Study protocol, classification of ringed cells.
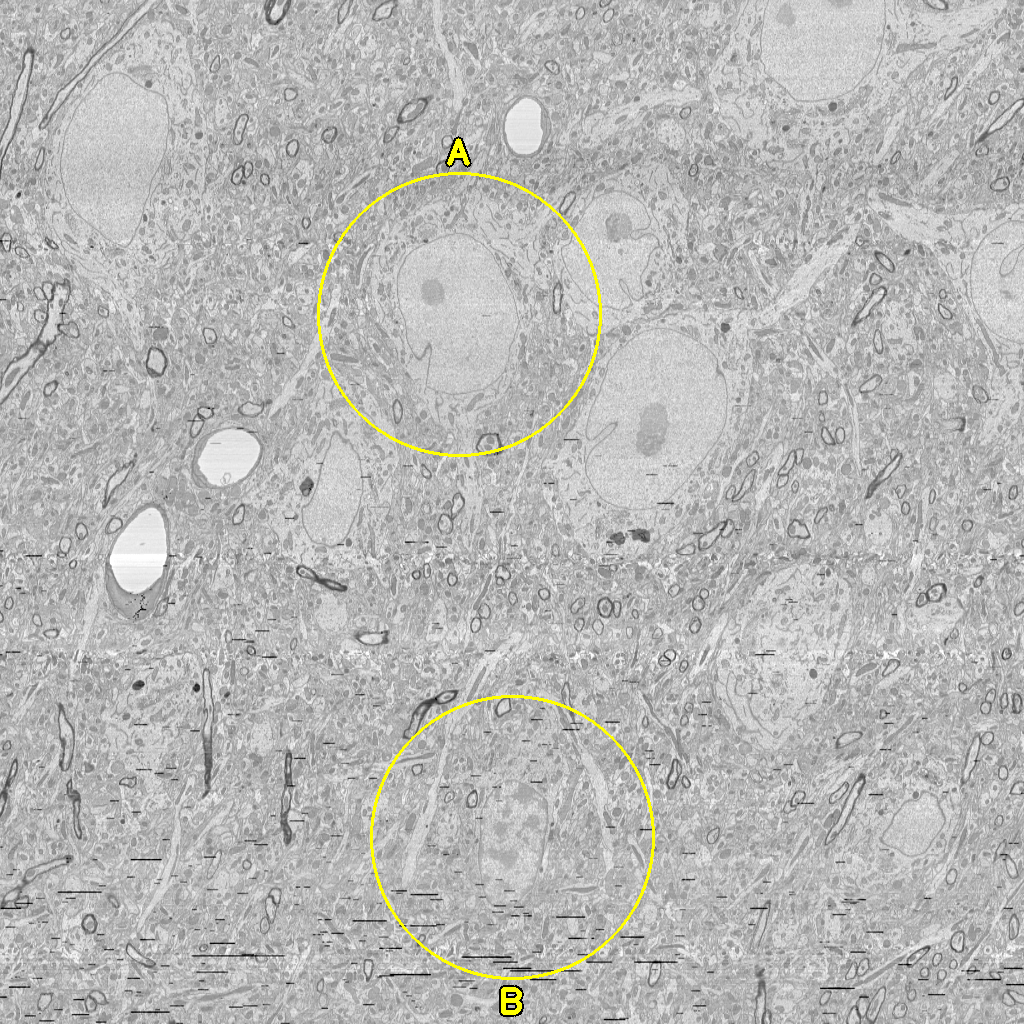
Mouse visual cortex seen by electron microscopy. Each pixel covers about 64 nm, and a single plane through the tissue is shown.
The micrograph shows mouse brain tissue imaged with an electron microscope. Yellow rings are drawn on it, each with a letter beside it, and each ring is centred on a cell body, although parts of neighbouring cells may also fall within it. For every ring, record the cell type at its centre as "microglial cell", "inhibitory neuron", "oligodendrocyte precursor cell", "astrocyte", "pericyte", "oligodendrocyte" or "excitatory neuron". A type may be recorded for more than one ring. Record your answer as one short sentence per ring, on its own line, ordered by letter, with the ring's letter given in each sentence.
Ring A has been centred on an excitatory neuron.
Ring B has been centred on an oligodendrocyte.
